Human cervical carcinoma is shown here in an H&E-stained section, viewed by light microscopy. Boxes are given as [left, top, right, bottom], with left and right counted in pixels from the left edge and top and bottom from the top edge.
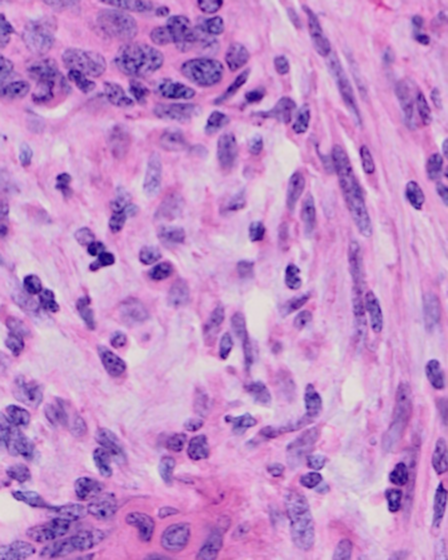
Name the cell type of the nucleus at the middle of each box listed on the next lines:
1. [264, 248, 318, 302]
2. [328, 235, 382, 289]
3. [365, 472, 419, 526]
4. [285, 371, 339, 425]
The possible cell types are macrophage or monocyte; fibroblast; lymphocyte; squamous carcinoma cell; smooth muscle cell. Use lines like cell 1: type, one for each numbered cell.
cell 1: lymphocyte
cell 2: fibroblast
cell 3: lymphocyte
cell 4: lymphocyte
